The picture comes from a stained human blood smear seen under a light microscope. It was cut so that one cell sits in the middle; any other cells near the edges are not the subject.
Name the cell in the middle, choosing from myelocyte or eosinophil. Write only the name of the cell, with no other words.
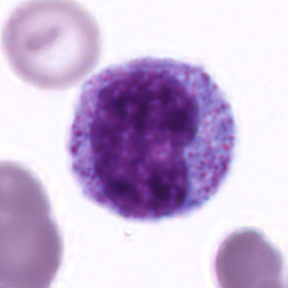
myelocyte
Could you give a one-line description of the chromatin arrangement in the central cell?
Heads up, the chromatin in this one is coarsely clumped.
